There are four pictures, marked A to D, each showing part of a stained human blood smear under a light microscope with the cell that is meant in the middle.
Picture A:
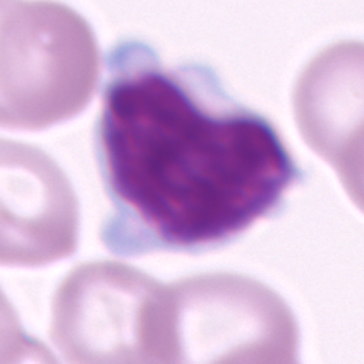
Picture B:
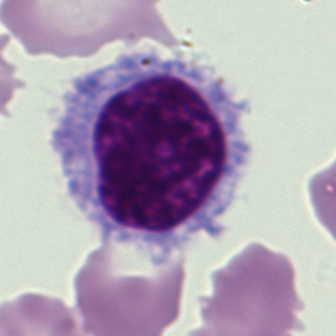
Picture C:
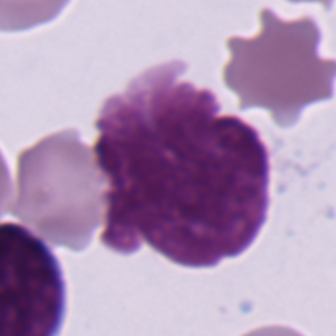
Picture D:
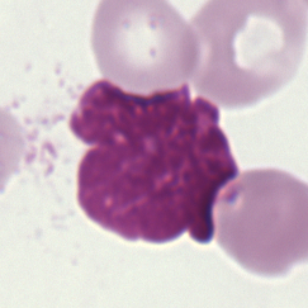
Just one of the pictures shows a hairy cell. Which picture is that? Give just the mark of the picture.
B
